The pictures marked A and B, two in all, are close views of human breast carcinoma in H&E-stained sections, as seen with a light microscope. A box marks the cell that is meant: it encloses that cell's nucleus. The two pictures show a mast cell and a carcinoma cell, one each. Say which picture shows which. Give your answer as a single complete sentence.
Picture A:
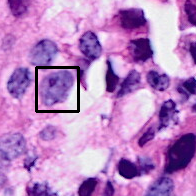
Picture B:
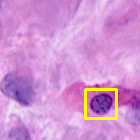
The cell in picture A is a carcinoma cell, and the one in picture B is a mast cell.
